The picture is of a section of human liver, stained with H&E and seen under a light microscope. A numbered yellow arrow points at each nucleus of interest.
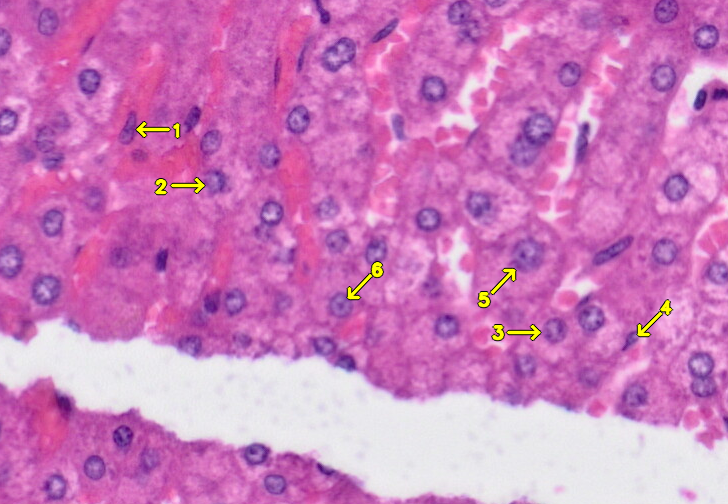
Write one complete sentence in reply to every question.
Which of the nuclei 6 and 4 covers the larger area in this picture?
It is nucleus 6, which covers about 2.5 times the area of nucleus 4.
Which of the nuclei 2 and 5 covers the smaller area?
Nucleus 2 is the smaller one; nucleus 5 covers about 2 times its area.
